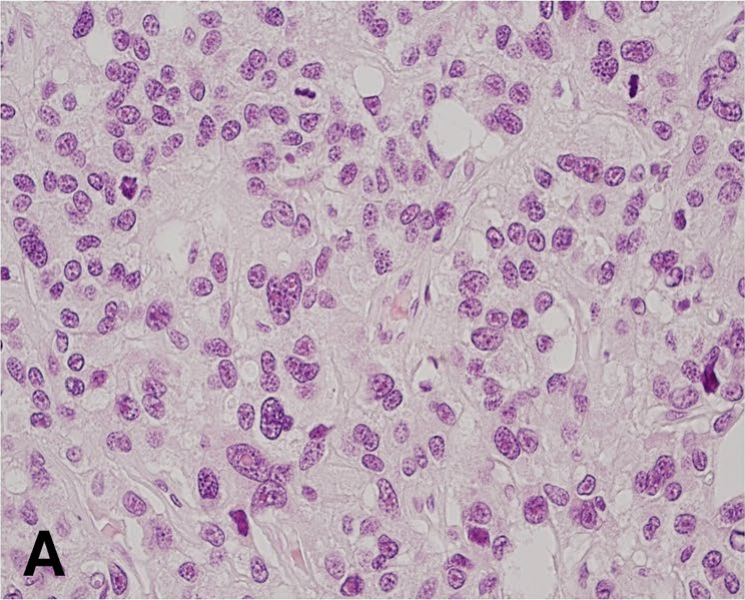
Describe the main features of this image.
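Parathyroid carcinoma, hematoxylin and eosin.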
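The nuclei are purple, round to oval, with speckled chromatin and small nucleoli. They are clearly unequal: some are two or three times the size of their neighbours, and a few are lobed or irregular. Scattered among them are dividing cells, whose chromosomes appear as dense, dark purple clumps or short bars. Small clear spaces and thin strands of pale stroma run between the cells.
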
